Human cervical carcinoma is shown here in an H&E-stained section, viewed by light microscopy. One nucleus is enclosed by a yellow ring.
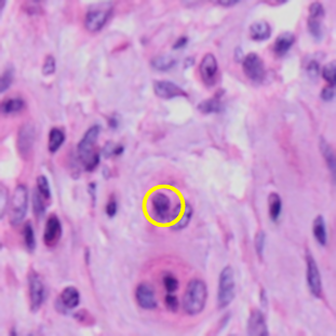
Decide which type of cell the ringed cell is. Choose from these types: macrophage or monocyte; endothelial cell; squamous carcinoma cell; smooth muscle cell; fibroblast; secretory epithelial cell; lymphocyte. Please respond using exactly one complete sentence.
As a matter of cell type, the ringed cell is an endothelial cell.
